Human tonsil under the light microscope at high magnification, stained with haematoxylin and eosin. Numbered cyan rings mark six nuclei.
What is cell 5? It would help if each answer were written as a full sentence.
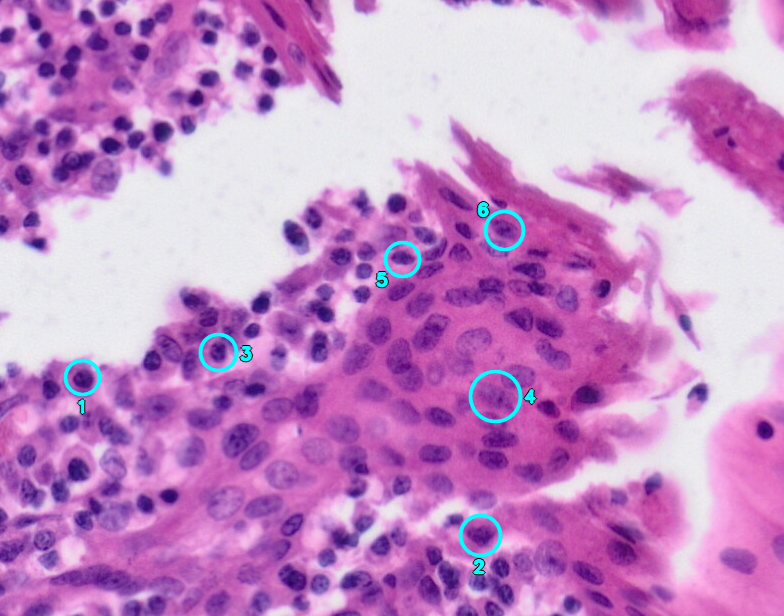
The cell that carries the label 5 is a squamous epithelial cell.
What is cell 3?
The cell assigned the number 3 is a plasma cell.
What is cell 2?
Marked with the number 2, this cell is a squamous epithelial cell.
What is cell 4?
The cell assigned the number 4 is a squamous epithelial cell.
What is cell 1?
Among the marked cells, number 1 is a plasma cell.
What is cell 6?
The one numbered 6 among the marked cells is a squamous epithelial cell.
